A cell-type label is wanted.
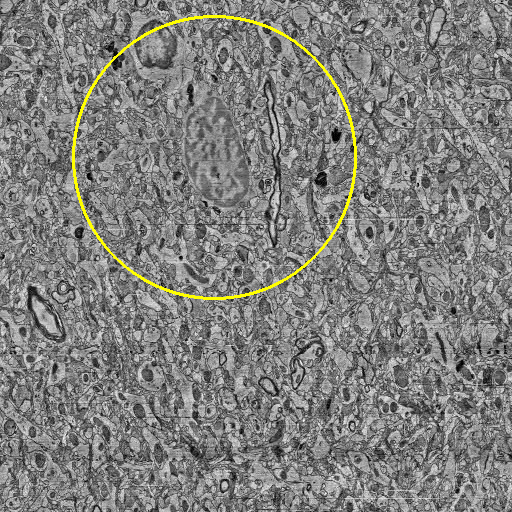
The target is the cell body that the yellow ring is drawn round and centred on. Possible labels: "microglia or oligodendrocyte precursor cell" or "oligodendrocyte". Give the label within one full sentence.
Of the labels offered, the cell in the middle of the yellow ring is an oligodendrocyte.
